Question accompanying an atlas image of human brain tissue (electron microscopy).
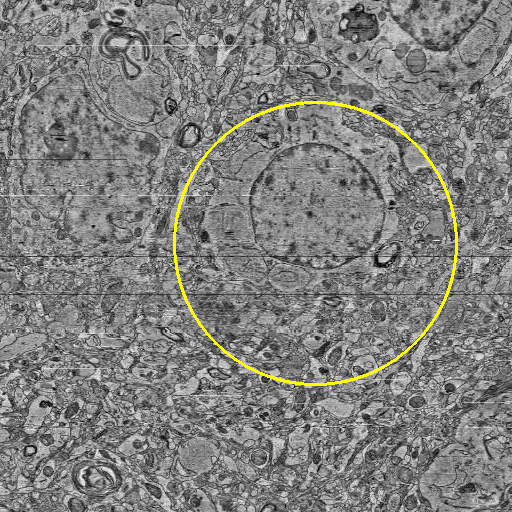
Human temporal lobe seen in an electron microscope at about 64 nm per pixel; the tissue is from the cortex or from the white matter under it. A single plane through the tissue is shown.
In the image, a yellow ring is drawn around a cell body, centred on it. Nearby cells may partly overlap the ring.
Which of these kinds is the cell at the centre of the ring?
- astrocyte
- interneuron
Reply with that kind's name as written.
astrocyte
